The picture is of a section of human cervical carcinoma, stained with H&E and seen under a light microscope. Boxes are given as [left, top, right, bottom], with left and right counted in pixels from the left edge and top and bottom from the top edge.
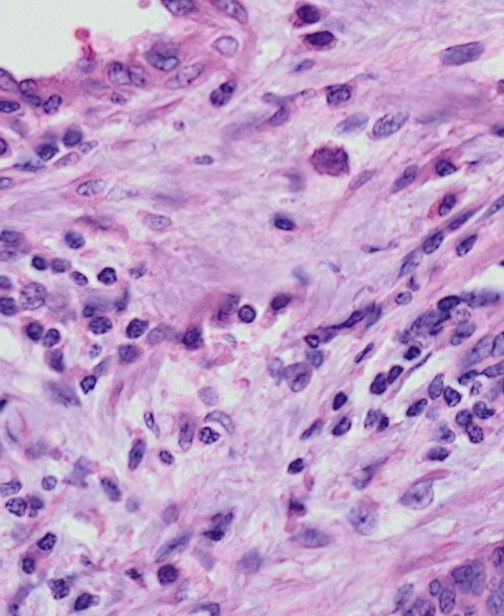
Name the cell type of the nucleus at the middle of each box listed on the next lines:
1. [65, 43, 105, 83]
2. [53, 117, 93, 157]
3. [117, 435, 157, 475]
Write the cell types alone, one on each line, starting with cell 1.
endothelial cell
lymphocyte
lymphocyte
